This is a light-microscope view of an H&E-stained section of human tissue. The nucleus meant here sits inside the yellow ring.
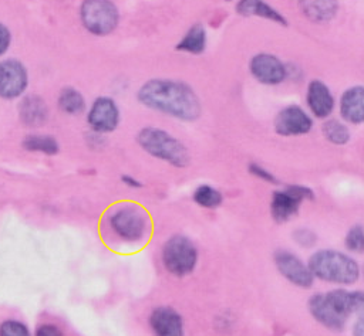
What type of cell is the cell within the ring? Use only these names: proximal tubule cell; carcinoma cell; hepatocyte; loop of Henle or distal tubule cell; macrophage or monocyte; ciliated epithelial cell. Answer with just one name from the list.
loop of Henle or distal tubule cell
